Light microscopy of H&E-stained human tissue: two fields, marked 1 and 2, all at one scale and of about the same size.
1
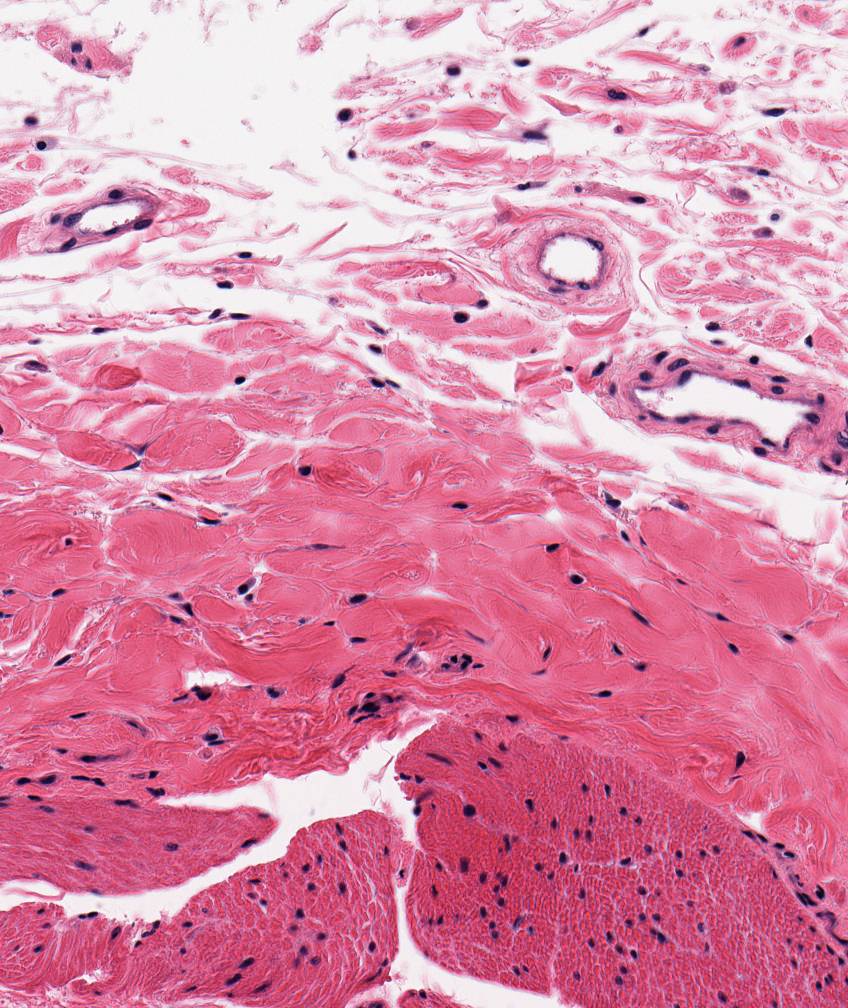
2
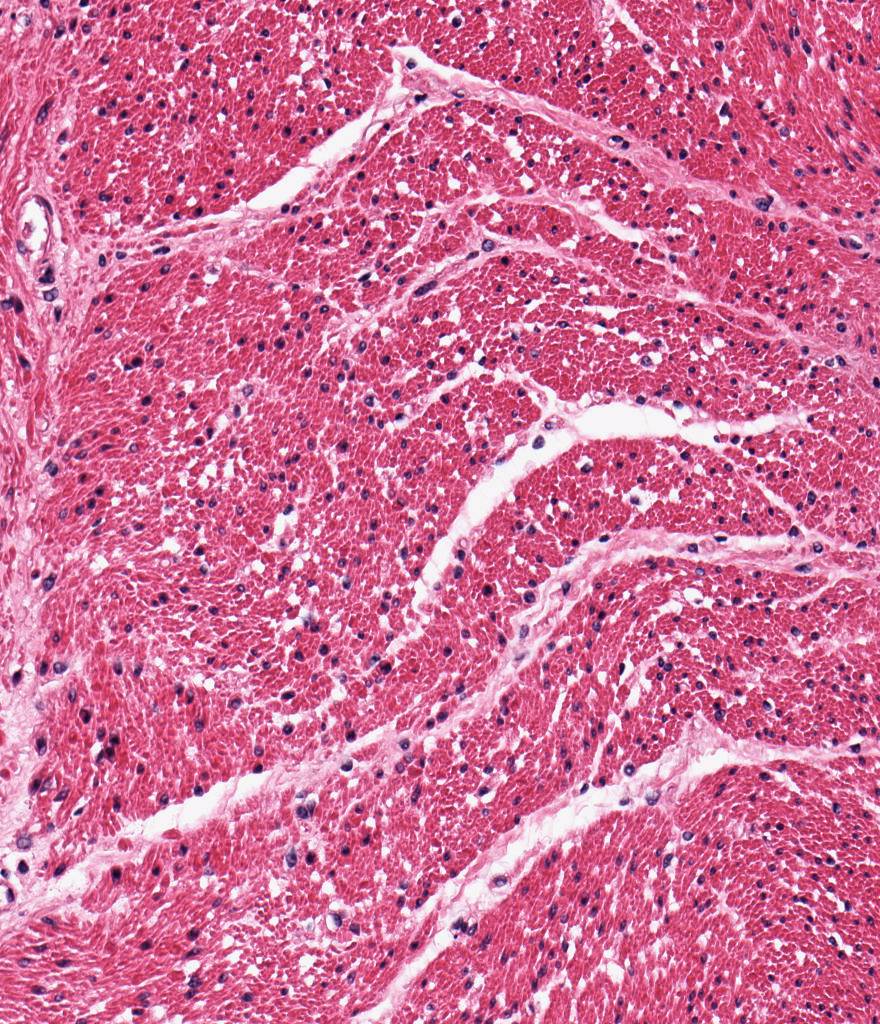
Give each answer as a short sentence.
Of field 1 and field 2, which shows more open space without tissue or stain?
Field 1 has more white space.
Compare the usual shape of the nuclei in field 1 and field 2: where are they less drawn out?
Rounder nuclei lie in field 2.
